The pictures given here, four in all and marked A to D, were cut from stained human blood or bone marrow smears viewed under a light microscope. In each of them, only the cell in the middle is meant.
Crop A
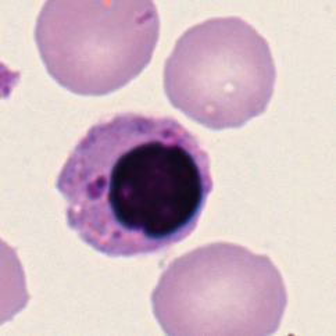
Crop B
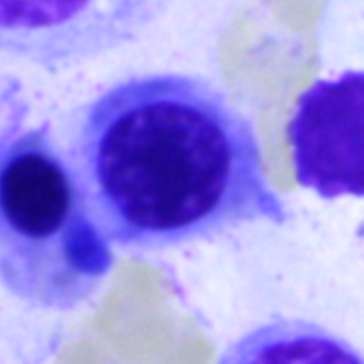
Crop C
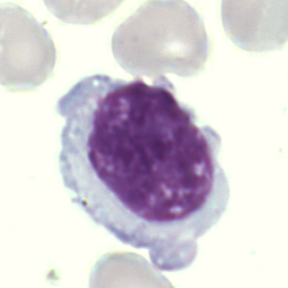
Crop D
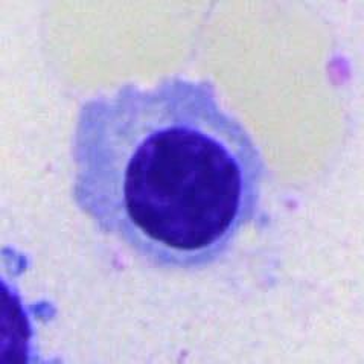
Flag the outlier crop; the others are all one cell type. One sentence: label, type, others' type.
Only in crop C is there a plasma cell; all other crops show erythroblasts.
